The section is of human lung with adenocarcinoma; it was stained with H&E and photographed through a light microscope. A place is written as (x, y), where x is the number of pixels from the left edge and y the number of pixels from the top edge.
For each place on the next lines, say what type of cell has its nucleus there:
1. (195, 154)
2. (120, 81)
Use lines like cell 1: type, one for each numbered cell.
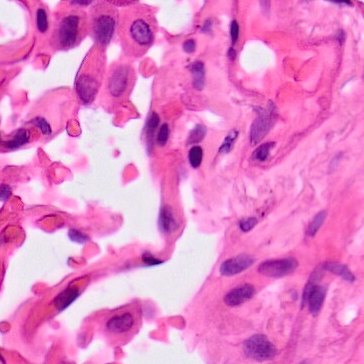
cell 1: lymphocyte
cell 2: macrophage or monocyte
